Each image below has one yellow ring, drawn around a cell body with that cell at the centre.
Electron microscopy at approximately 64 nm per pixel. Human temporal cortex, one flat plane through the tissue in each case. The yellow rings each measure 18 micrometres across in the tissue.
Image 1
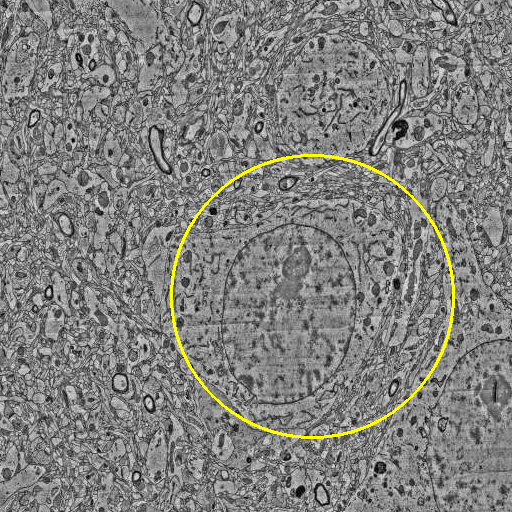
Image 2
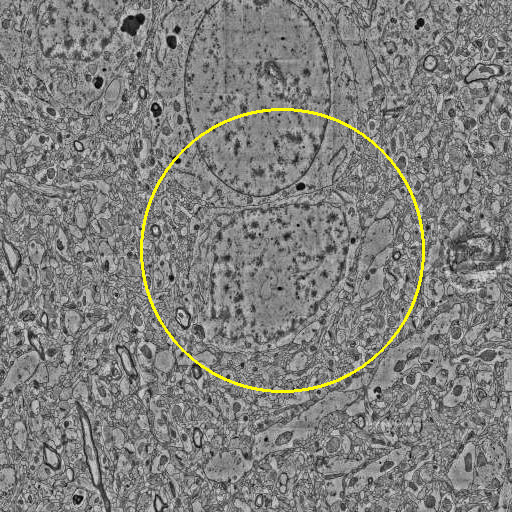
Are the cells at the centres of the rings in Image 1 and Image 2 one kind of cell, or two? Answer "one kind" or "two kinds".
two kinds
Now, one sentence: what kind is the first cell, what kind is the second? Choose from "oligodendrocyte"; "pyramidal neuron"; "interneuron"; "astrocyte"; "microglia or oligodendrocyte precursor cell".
The first picture has a pyramidal neuron at its ring centre, and the second has an interneuron.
